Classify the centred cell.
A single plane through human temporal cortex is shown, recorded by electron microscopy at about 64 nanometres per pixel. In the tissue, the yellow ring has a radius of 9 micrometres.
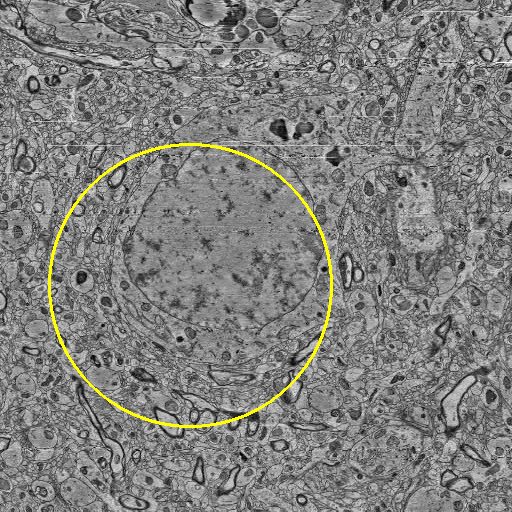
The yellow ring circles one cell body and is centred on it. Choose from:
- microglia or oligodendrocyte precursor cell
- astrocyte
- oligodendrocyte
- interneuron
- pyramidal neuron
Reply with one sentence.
The ring is centred on a pyramidal neuron.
